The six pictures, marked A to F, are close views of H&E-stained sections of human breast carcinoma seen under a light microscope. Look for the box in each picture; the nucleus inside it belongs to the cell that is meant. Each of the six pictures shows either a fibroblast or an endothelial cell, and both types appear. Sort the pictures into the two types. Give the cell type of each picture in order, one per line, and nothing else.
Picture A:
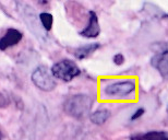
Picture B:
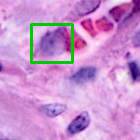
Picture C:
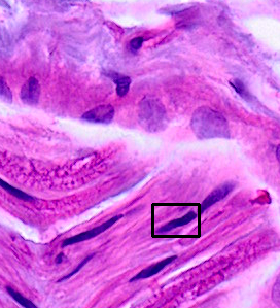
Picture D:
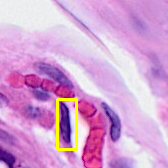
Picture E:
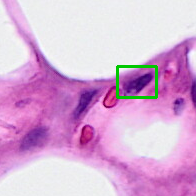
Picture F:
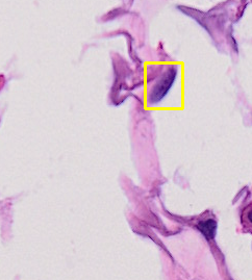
endothelial cell
endothelial cell
fibroblast
endothelial cell
endothelial cell
fibroblast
